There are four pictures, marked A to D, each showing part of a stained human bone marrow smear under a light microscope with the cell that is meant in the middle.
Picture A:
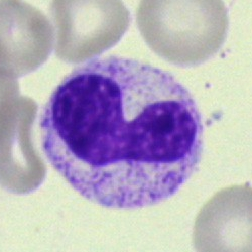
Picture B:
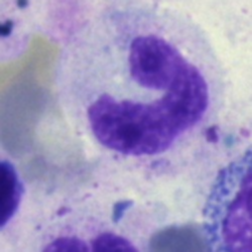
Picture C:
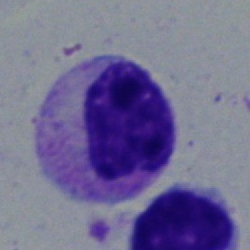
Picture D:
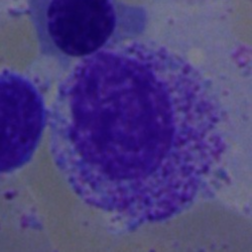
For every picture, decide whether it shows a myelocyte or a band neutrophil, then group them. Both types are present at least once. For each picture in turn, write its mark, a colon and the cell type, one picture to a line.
A: band neutrophil
B: band neutrophil
C: myelocyte
D: myelocyte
